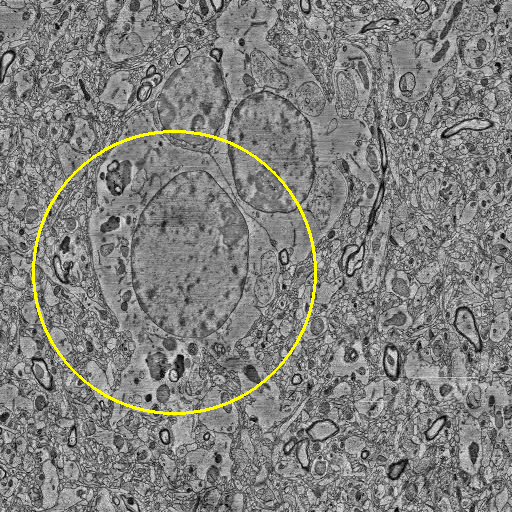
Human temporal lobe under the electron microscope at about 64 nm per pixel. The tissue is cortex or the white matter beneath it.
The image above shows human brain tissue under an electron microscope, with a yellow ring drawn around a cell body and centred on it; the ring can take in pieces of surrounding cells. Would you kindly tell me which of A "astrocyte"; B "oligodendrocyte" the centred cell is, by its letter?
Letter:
A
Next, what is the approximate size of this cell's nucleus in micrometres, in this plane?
The nucleus works out at approximately 11 by 7 micrometres in this plane.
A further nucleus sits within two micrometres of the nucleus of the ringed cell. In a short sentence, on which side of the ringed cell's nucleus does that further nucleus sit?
That other nucleus appears to the upper right of it.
